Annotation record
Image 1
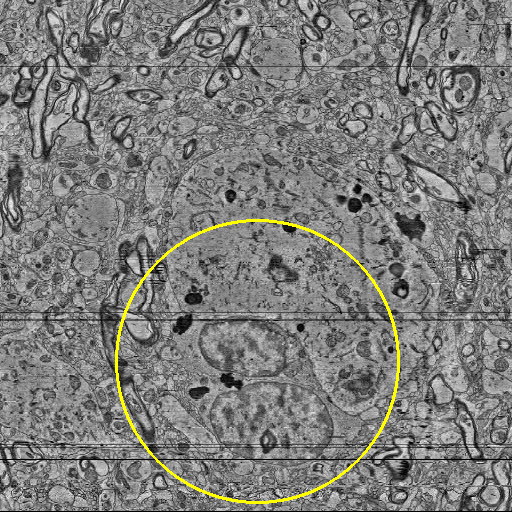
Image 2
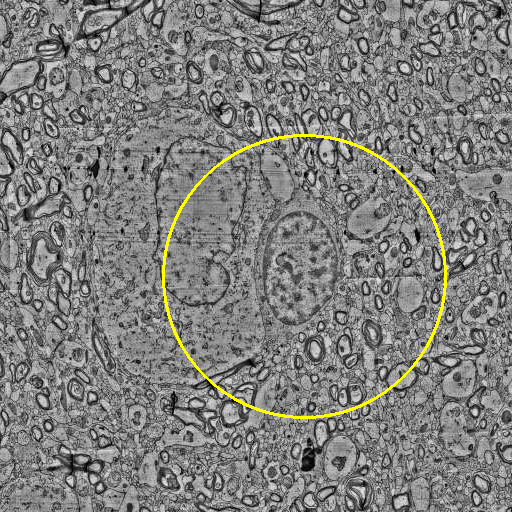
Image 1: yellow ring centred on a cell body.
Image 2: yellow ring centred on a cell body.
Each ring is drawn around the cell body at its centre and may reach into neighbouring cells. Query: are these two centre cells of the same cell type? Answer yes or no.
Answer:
yes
